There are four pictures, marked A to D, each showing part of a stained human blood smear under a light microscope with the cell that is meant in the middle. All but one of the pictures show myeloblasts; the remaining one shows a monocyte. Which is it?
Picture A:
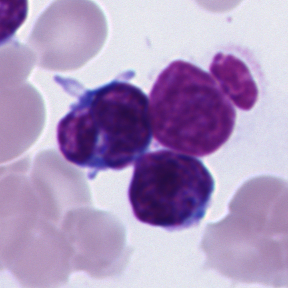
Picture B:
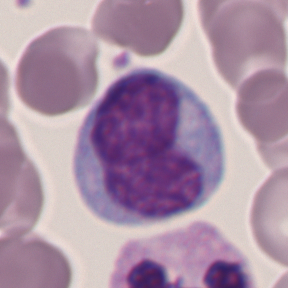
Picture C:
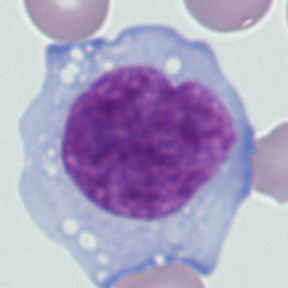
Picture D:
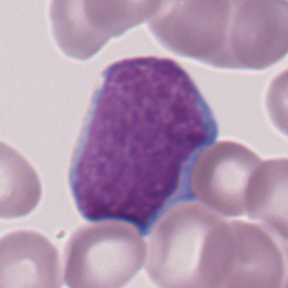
B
